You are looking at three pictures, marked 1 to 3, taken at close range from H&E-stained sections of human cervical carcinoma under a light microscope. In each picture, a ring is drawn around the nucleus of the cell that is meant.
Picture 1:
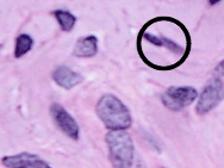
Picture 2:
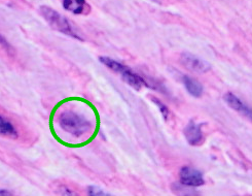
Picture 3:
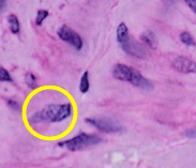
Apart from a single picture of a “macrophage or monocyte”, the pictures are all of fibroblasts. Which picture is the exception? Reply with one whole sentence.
It is picture 2 that shows the “macrophage or monocyte”.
